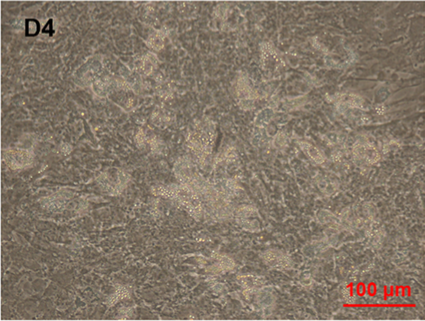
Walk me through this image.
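In this unstained culture, patches of rounded adipocytes are filled with many small, bright, refractile lipid droplets. They are scattered among a dense, confluent layer of flattened cells without droplets, giving the field a mottled look.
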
